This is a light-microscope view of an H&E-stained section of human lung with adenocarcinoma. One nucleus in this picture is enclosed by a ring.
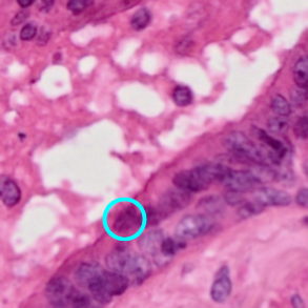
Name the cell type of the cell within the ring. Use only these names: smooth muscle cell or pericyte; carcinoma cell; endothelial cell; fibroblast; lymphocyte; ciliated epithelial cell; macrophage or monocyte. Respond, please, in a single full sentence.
By cell type, the cell within the ring is a ciliated epithelial cell.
